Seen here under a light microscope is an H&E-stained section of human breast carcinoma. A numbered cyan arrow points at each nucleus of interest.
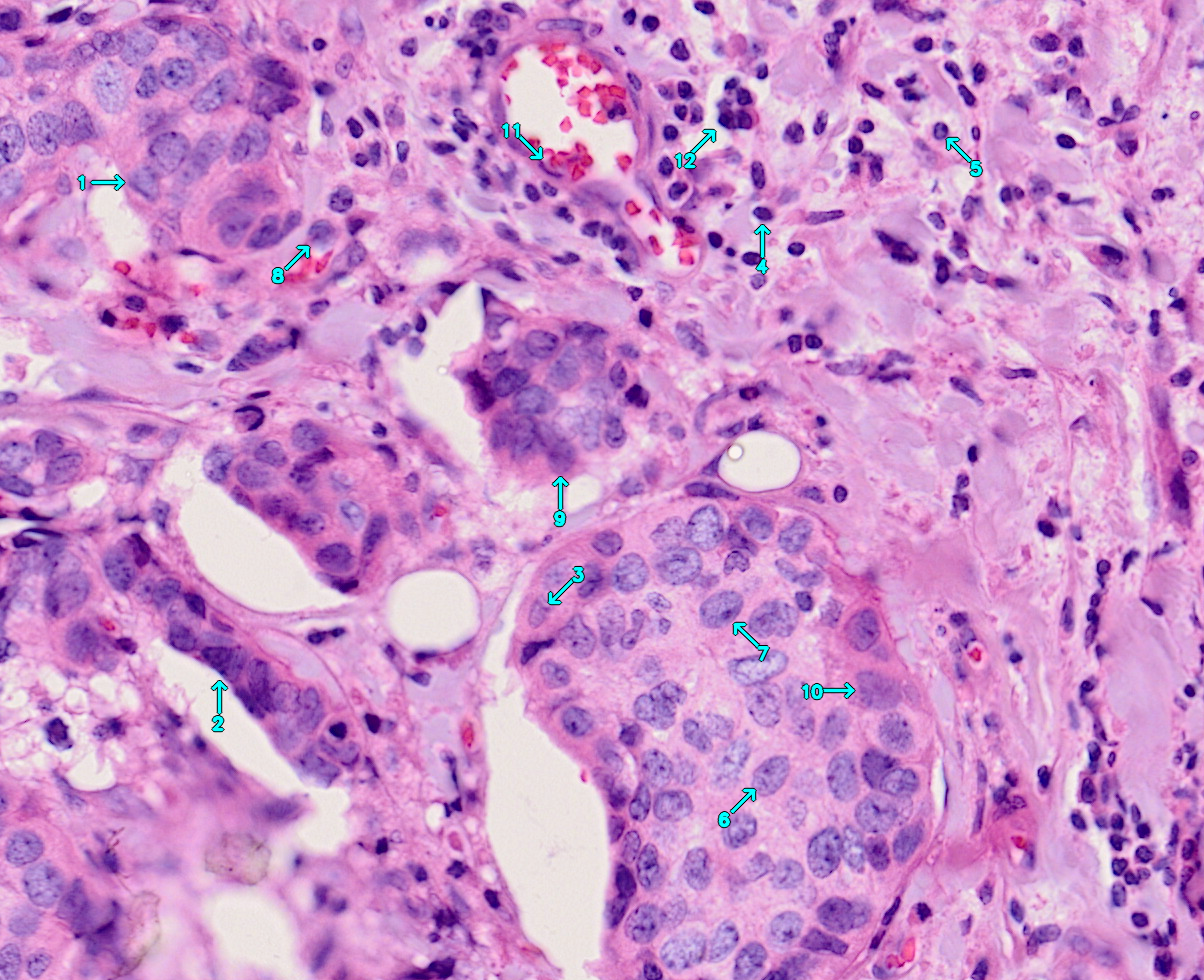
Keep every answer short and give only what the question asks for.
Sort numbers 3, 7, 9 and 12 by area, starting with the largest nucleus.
7, 9, 3, 12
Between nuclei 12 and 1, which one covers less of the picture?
12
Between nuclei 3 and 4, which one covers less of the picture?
4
